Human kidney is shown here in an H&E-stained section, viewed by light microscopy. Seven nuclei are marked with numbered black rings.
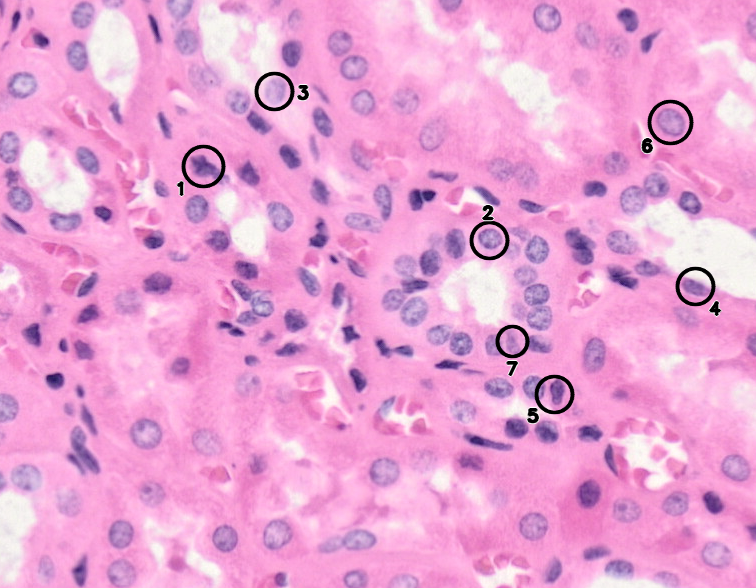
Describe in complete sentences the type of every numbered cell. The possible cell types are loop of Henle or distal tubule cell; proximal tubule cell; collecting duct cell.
Cell 1 is a loop of Henle or distal tubule cell, cell 2 is a collecting duct cell, cell 3 is a collecting duct cell, cell 4 is a loop of Henle or distal tubule cell, cell 5 is a loop of Henle or distal tubule cell, cell 6 is a proximal tubule cell and cell 7 is a collecting duct cell.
